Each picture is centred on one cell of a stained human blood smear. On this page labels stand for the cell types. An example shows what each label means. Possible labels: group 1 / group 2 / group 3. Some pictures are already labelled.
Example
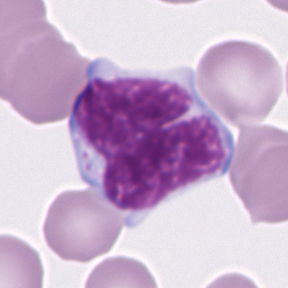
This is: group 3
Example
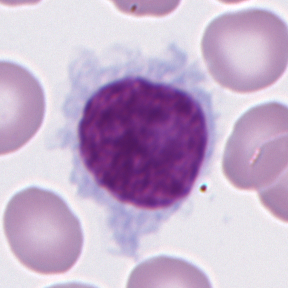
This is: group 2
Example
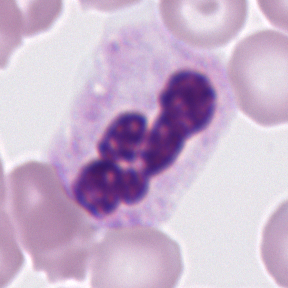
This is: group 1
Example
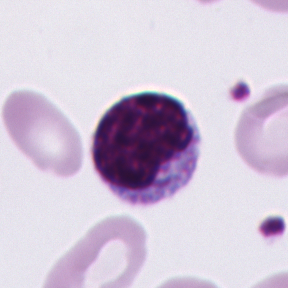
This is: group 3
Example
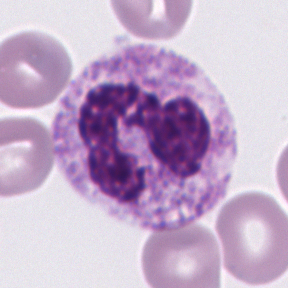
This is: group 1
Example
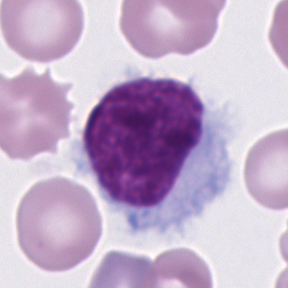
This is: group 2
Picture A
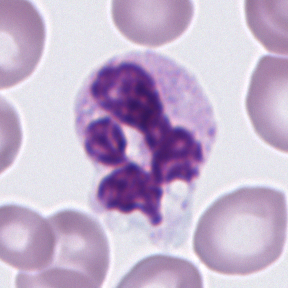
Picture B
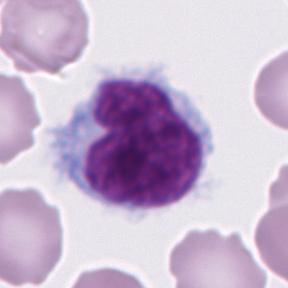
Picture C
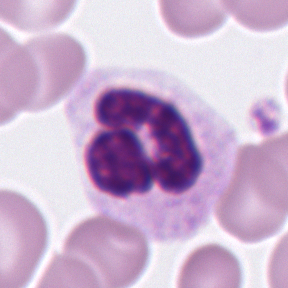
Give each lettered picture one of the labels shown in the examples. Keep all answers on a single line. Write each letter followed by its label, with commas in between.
A group 1, B group 2, C group 1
